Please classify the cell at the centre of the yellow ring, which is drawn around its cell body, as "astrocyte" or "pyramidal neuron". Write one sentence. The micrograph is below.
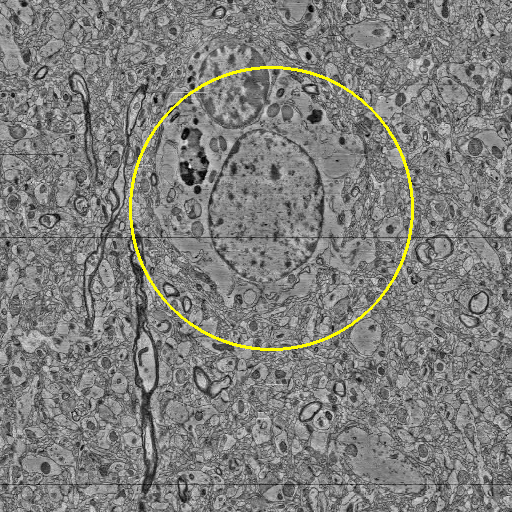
The cell at the ring's centre is classified as an astrocyte.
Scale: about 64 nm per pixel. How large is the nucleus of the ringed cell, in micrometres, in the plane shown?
In this plane, the nucleus is roughly 10 by 7 micrometres.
